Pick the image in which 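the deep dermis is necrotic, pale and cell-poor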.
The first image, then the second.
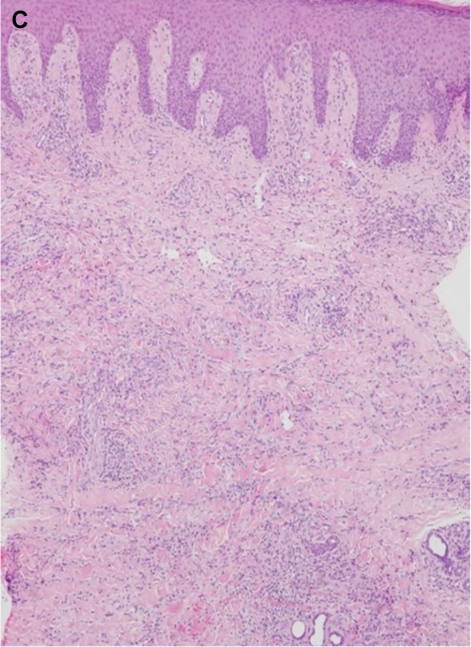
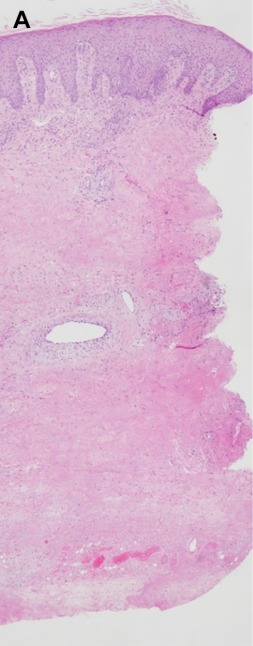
the second image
